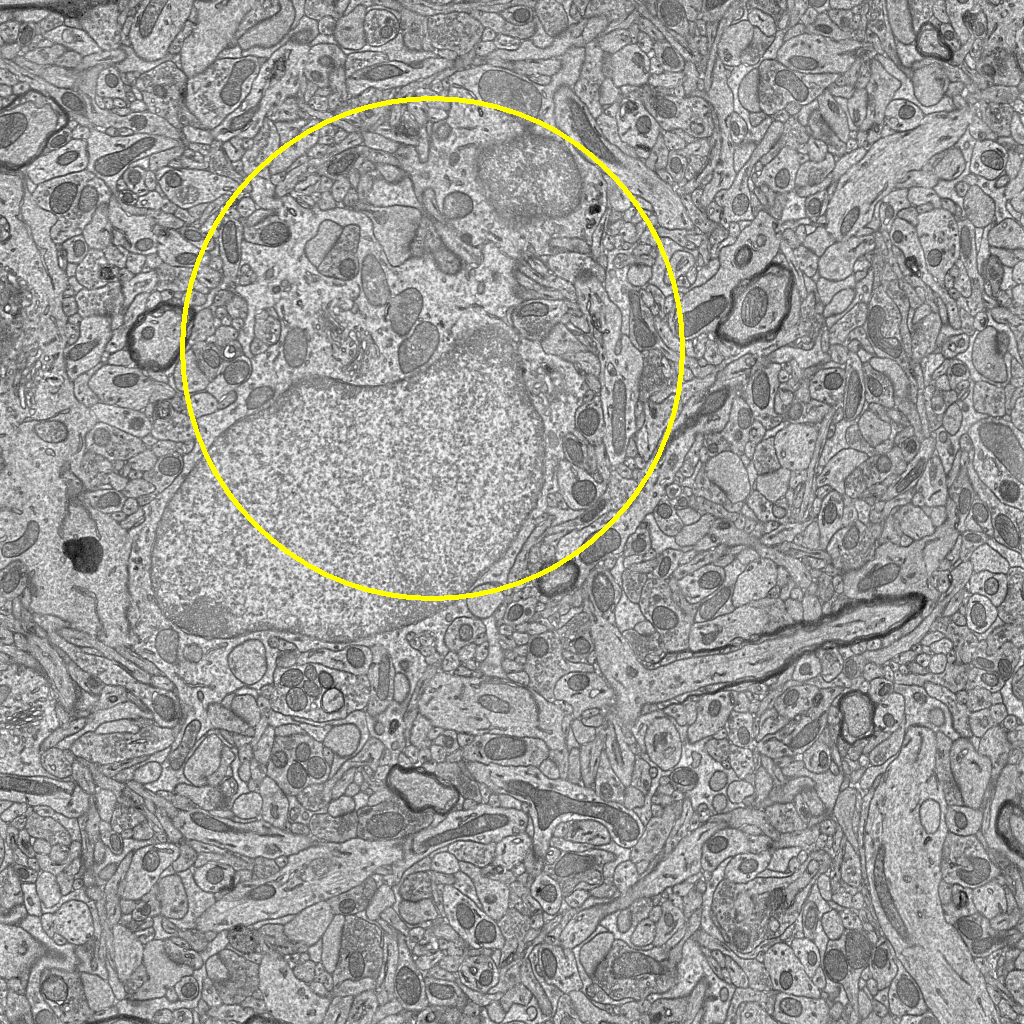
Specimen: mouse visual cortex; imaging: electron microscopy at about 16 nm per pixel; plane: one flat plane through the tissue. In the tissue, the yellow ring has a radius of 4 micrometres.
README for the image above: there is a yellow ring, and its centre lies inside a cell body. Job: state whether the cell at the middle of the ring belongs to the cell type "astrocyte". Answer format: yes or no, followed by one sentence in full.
Yes, the cell lying at the middle of the ring in the image belongs to that type.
